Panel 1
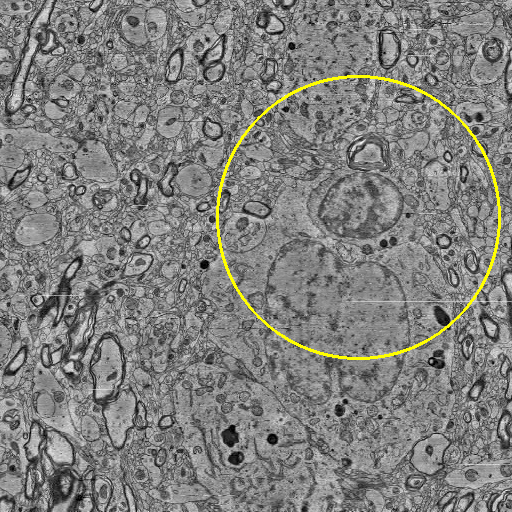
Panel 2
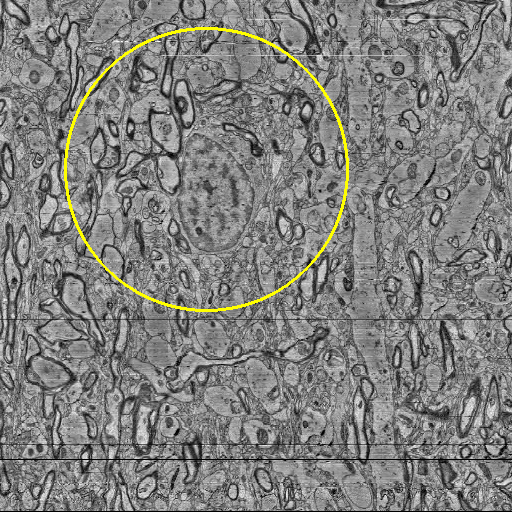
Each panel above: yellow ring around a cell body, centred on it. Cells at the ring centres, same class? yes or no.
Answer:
yes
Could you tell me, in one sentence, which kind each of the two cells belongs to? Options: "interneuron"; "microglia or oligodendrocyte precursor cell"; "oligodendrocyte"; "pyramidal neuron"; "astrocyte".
Each of the two cells is an oligodendrocyte.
